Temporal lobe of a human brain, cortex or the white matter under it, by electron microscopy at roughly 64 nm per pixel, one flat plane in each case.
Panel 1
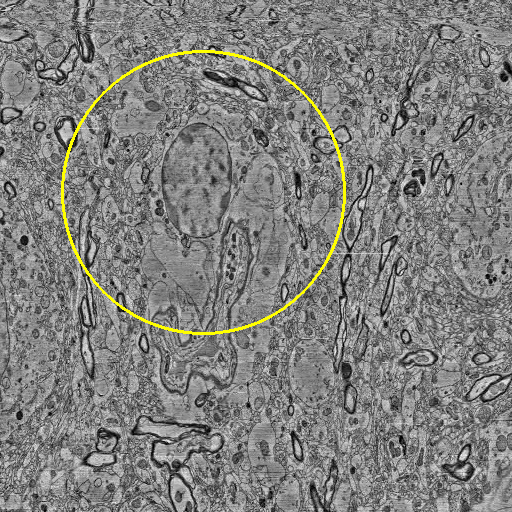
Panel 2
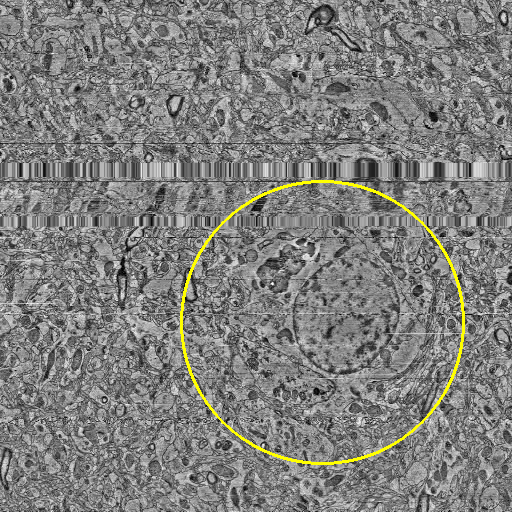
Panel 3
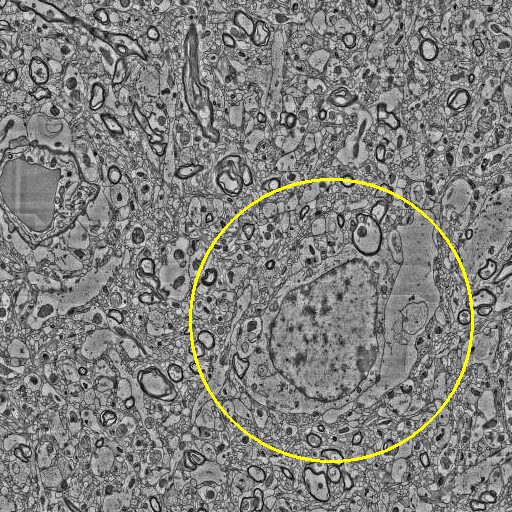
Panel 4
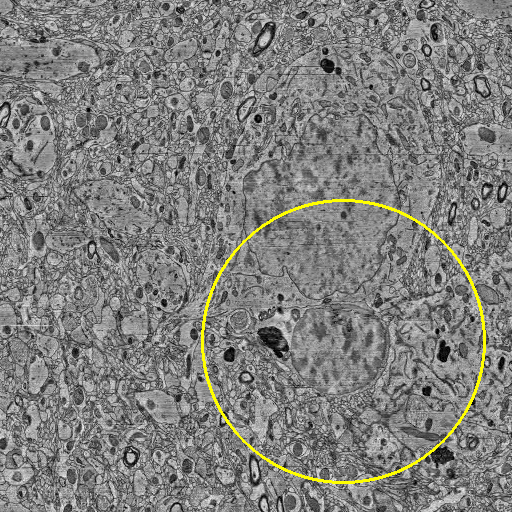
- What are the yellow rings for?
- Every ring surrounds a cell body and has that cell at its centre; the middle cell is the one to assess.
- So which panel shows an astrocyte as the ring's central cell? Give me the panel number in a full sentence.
The panel whose ring is centred on the cell in question is panel 2.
